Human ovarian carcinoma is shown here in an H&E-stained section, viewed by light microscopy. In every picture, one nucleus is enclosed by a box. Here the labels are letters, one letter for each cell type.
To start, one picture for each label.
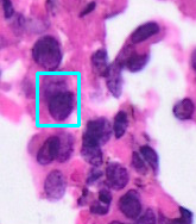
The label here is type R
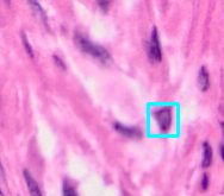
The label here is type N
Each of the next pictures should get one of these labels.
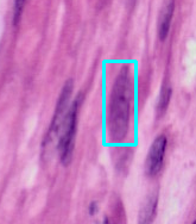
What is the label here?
type N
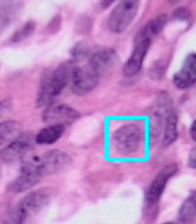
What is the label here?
type R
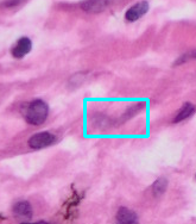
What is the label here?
type N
